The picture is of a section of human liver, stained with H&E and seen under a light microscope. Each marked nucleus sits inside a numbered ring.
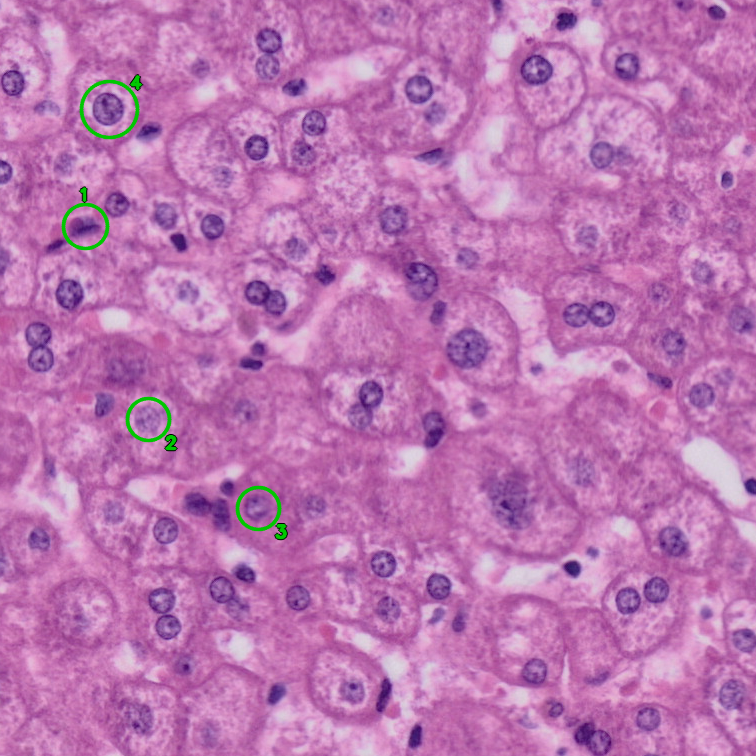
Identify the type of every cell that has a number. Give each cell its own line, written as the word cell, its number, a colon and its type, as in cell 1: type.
cell 1: endothelial cell
cell 2: hepatocyte
cell 3: hepatocyte
cell 4: hepatocyte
